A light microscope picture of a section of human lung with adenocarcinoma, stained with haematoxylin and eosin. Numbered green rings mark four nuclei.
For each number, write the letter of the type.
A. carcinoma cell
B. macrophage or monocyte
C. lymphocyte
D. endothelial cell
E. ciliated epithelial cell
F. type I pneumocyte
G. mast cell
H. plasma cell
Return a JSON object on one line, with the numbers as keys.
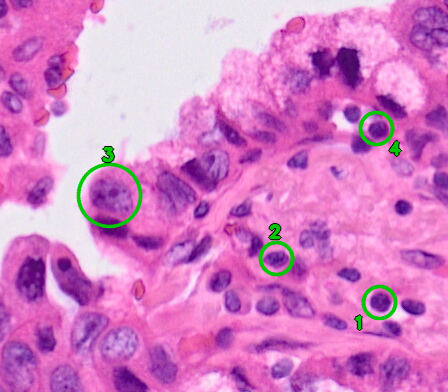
{"1": "C", "2": "C", "3": "A", "4": "C"}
